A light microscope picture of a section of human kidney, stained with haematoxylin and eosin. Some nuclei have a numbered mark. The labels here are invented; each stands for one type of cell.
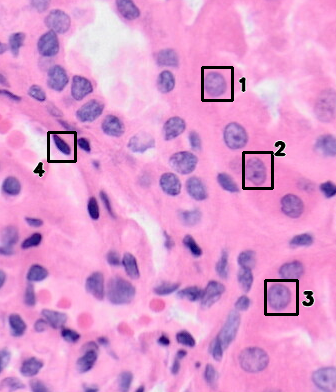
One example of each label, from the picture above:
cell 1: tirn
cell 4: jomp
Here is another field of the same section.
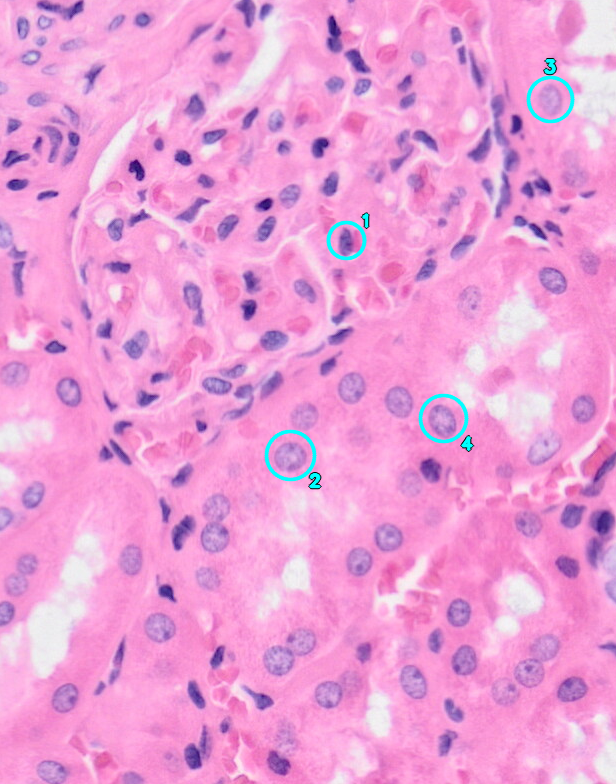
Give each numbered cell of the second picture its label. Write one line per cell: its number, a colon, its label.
1: jomp
2: tirn
3: tirn
4: tirn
